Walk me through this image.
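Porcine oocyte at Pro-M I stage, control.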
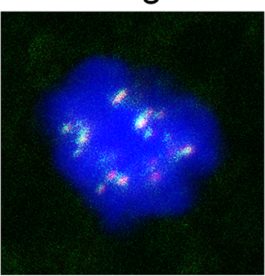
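Small paired red foci sit at discrete points along the chromosomes, each largely overlapping a green focus so that they appear whitish in the overlay. The foci are scattered around the periphery and interior of the chromosome mass rather than spread diffusely.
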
